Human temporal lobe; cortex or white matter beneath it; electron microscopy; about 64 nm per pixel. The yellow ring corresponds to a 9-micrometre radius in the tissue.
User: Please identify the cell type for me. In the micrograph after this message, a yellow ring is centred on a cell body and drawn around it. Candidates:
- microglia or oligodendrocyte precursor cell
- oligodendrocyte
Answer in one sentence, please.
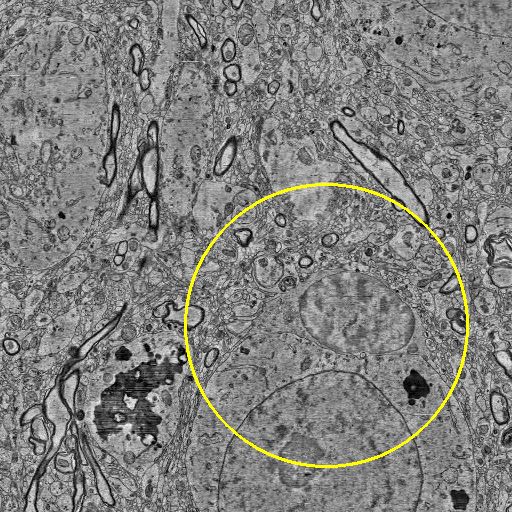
The ring is drawn around the cell body of an oligodendrocyte.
